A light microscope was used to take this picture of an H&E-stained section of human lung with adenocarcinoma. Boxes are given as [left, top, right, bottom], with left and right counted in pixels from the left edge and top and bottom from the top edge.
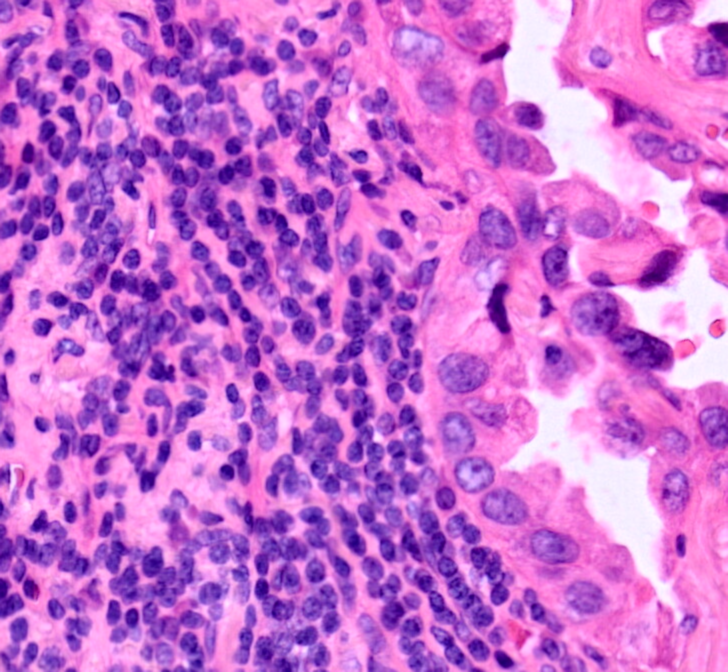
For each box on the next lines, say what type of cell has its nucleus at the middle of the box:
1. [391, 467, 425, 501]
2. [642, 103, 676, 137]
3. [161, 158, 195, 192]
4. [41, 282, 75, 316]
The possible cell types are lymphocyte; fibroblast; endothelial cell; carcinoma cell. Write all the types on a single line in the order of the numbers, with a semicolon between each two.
lymphocyte; carcinoma cell; lymphocyte; lymphocyte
